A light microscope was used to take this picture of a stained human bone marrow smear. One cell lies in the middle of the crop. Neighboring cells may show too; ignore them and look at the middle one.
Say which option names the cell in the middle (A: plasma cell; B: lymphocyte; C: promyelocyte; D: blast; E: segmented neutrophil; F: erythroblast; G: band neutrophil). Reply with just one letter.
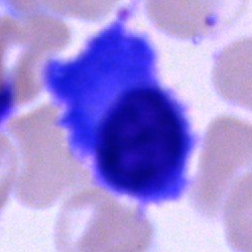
A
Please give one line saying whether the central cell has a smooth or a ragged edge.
The outline of this cell is not smooth but ragged or drawn out into projections.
